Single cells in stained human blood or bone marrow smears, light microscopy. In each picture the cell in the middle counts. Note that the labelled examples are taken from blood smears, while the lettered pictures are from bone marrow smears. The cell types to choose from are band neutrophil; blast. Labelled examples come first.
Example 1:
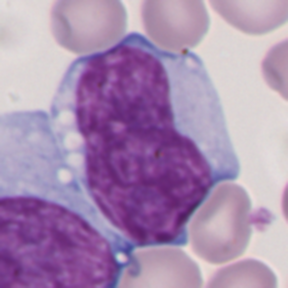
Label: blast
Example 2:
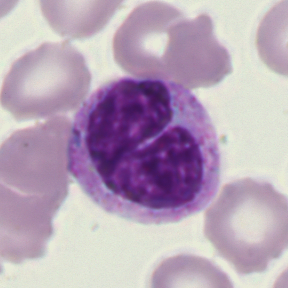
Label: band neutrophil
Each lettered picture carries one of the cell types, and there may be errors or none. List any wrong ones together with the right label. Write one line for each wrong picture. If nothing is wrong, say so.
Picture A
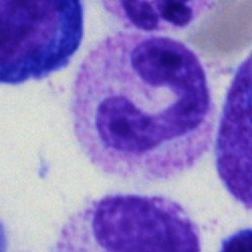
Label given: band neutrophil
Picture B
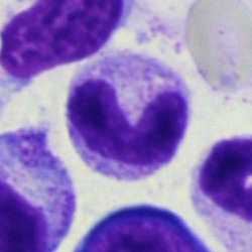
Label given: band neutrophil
Every label is right.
